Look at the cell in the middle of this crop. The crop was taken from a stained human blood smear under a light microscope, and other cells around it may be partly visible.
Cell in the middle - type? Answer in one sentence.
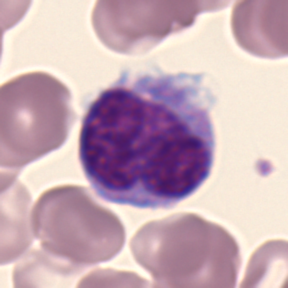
This particular crop is centered on a monocyte.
